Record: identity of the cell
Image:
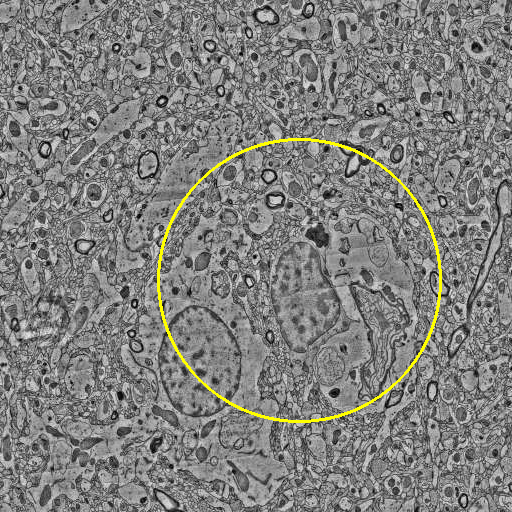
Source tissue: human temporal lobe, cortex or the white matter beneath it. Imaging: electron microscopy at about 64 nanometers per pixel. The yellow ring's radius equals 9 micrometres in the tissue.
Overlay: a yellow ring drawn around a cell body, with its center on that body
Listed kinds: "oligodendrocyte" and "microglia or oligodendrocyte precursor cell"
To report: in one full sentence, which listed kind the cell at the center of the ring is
In the image, the cell body at the ring's center belongs to an oligodendrocyte.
